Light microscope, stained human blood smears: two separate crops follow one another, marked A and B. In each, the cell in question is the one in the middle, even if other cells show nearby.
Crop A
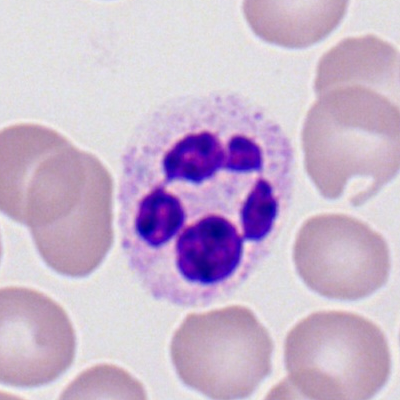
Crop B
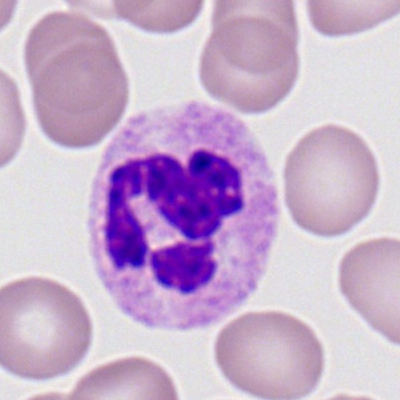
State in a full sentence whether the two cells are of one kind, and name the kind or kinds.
Yes, that holds, both crops show neutrophils.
